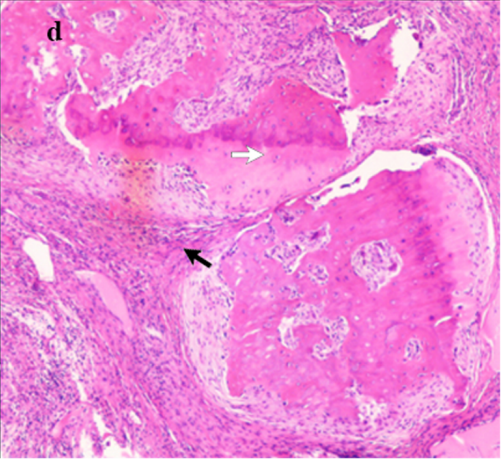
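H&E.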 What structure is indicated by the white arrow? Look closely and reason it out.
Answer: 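The white arrow points to a large pink, glassy matrix island. The island holds scattered cells sitting in small clear spaces like lacunae. A purple-tinged cellular rim borders the island. That points to this answer: osteochondral structure.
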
